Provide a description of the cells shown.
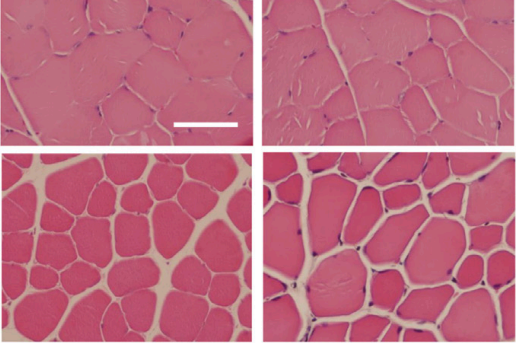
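These are cross-sections of skeletal muscle, showing the muscle fibers cut transversely, with eosin-pink cytoplasm and small purple nuclei pressed to the fiber edges rather than lying centrally. In the upper two images the fibers are large, polygonal and fit closely together, separated only by thin pale seams of connective tissue, and they stain a paler pink. In the lower two images the fibers are clearly smaller and more rounded, stain a deeper pink, and have wider pale gaps between them. This fits shrunken, atrophic fibers. Throughout, the nuclei stay peripheral, and no inflammatory infiltrate is obvious.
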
